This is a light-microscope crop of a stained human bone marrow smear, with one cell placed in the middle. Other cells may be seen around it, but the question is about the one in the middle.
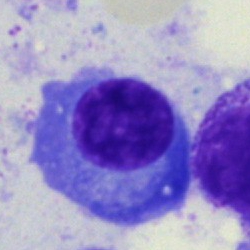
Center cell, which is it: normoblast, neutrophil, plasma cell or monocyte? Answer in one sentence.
Whatever else lies nearby, the middle cell is a plasma cell.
